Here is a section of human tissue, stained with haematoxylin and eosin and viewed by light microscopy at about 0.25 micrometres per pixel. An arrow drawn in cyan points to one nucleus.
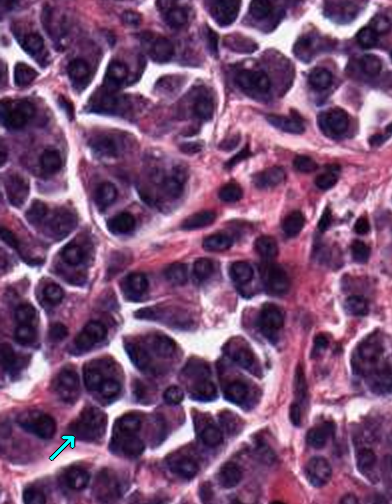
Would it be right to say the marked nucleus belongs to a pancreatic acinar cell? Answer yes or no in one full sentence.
Yes, the marked nucleus, in this picture, is that of a pancreatic acinar cell.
